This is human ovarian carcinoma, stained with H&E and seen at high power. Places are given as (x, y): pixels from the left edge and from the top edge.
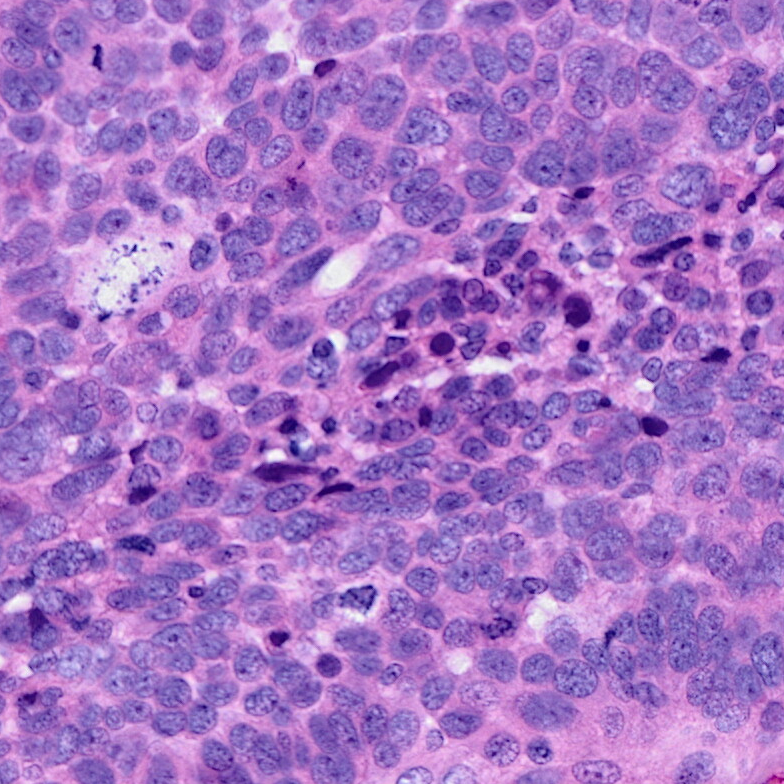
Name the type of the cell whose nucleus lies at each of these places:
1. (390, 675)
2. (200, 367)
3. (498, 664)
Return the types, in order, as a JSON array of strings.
["macrophage or monocyte", "carcinoma cell", "carcinoma cell"]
